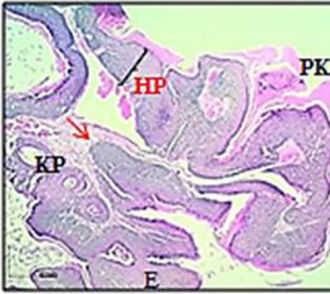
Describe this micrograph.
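Skin in which the epidermis is enormously thickened and thrown into branching, finger-like fronds that rise above the surface, each with a narrow core of paler connective tissue. The epithelium is many cells thick and stains purple, with scattered rounded whorls of cells inside it. The surface of the fronds is capped by layered bright pink keratin, in places lifted off as flakes.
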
